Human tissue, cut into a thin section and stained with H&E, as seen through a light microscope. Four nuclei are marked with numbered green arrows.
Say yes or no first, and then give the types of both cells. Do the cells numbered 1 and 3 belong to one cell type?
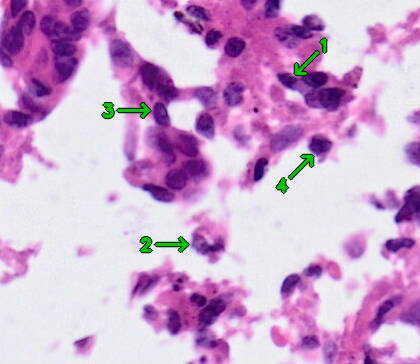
Yes, cells 1 and 3 are both recognised as carcinoma cells.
